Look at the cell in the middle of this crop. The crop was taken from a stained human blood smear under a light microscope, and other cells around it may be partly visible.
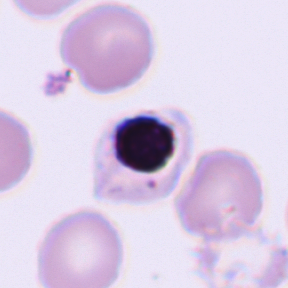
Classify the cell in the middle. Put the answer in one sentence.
The cell at the middle of the frame should be recorded as a normoblast.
